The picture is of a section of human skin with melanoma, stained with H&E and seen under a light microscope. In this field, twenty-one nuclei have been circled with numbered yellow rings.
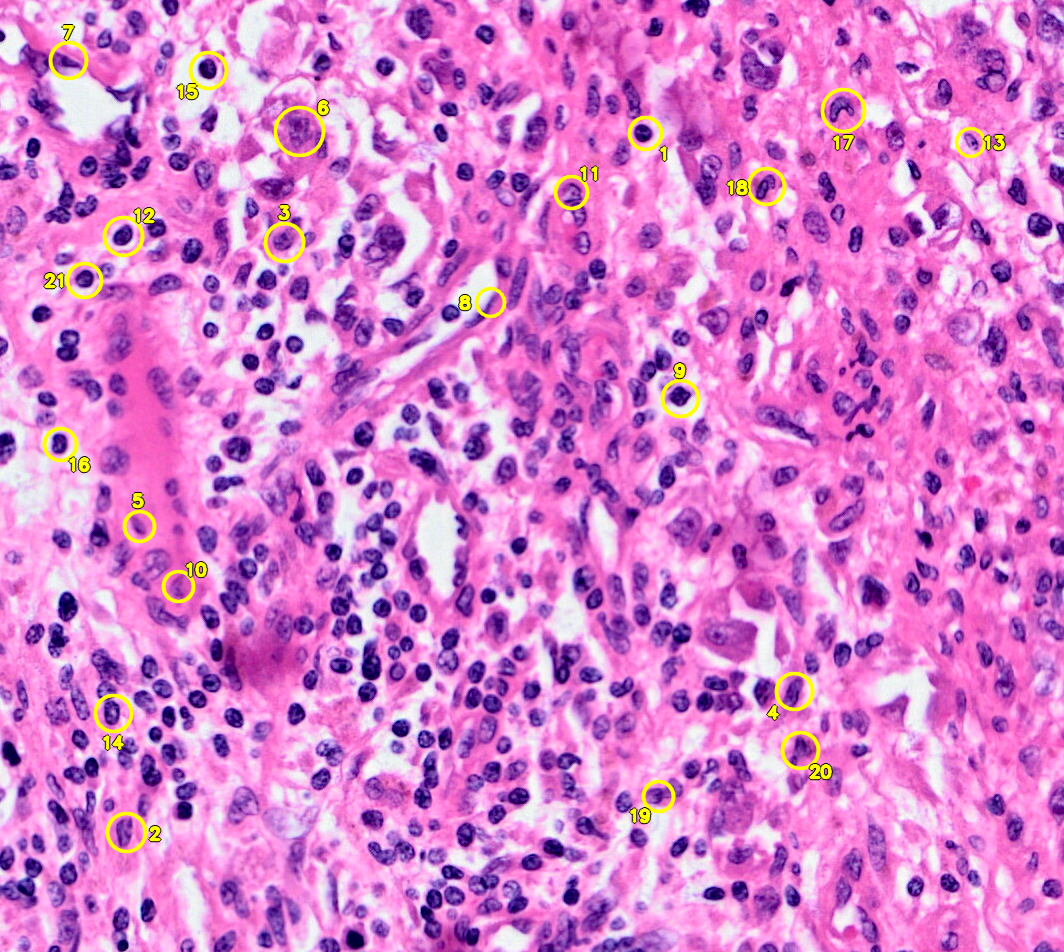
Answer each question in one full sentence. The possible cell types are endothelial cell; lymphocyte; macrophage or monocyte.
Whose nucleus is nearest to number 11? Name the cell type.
The nucleus nearest to number 11 is that of an endothelial cell.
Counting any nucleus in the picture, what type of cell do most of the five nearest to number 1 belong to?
Most of the five nuclei nearest to number 1 are those of macrophages or monocytes.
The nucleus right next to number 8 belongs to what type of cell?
It is an endothelial cell whose nucleus is nearest to number 8.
